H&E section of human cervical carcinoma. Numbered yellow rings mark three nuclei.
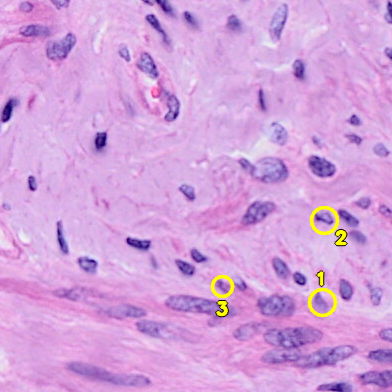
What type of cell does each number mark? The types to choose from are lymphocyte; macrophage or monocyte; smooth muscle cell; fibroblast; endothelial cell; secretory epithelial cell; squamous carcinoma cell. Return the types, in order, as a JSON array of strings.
["smooth muscle cell", "fibroblast", "smooth muscle cell"]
